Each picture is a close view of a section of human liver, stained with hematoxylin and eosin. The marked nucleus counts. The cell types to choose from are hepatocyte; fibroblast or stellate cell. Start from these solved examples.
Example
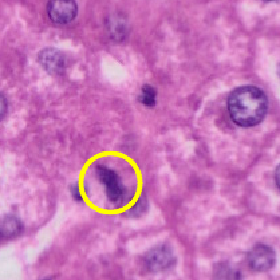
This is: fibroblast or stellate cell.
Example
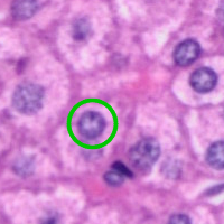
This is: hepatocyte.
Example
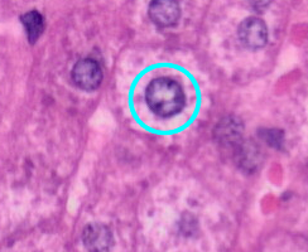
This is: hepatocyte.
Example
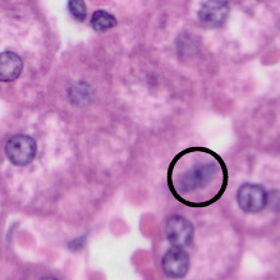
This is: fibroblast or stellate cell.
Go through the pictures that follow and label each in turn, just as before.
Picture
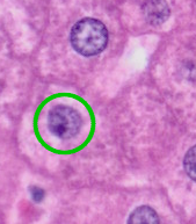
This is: hepatocyte.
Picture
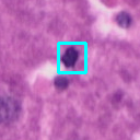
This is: fibroblast or stellate cell.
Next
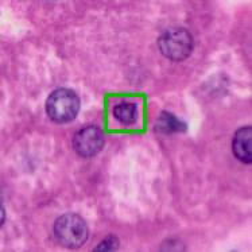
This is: fibroblast or stellate cell.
